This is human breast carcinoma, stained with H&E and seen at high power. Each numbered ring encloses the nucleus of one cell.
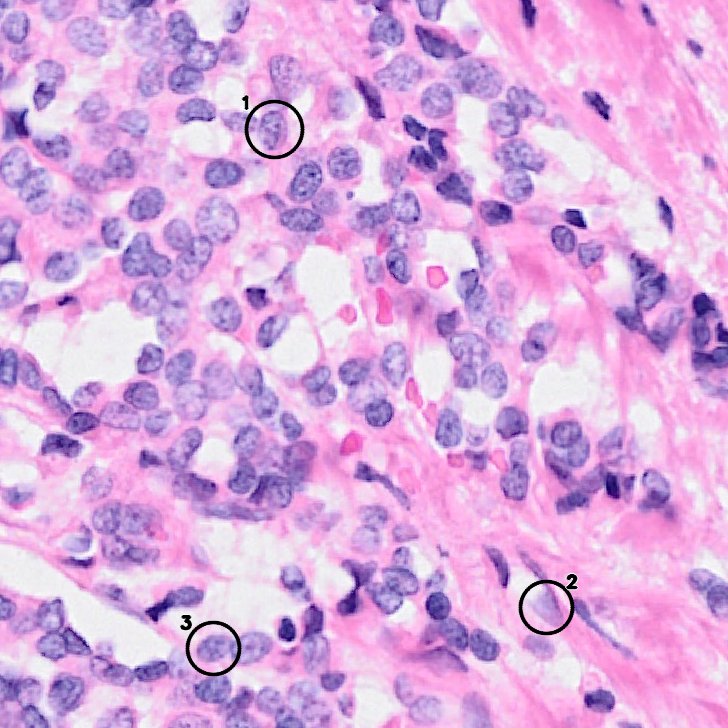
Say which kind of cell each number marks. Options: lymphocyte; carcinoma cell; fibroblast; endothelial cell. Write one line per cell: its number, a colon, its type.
1: carcinoma cell
2: endothelial cell
3: carcinoma cell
